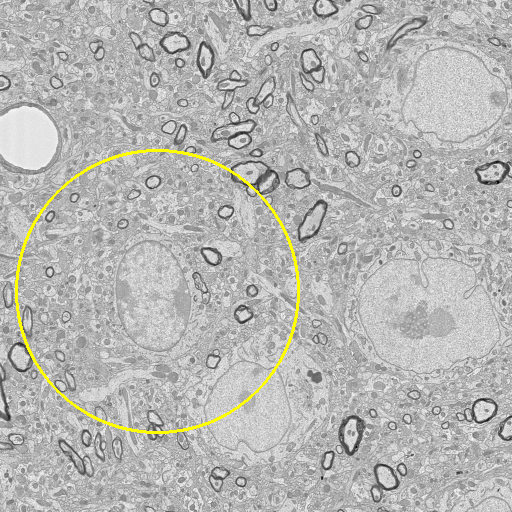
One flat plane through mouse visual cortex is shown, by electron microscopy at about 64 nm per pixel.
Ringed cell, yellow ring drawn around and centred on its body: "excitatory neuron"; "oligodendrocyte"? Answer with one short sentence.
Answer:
This ringed cell is an oligodendrocyte.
